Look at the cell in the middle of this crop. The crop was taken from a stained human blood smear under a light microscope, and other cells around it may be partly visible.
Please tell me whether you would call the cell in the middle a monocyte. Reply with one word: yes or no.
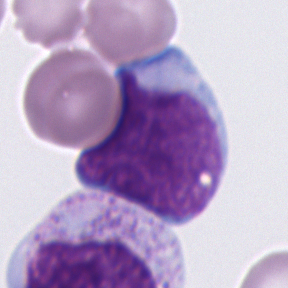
no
